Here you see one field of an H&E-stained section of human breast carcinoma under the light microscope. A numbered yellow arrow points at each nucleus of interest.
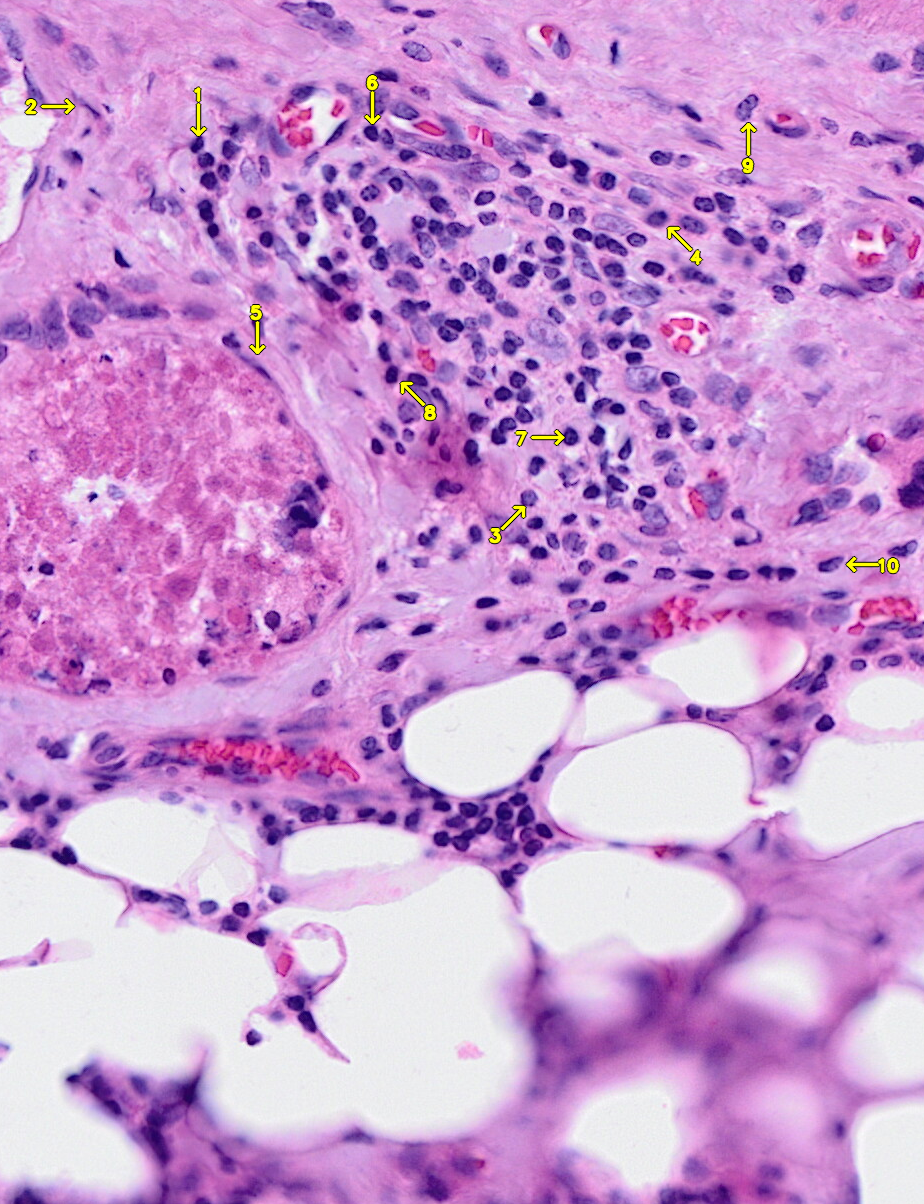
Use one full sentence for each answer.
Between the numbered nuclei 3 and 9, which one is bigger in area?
Number 9 is larger; its area is about 1.5 times that of number 3.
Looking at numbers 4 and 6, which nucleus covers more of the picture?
Number 4 is larger; its area is about 1.5 times that of number 6.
